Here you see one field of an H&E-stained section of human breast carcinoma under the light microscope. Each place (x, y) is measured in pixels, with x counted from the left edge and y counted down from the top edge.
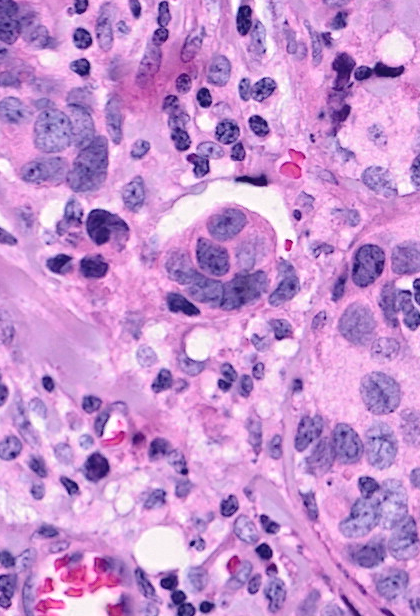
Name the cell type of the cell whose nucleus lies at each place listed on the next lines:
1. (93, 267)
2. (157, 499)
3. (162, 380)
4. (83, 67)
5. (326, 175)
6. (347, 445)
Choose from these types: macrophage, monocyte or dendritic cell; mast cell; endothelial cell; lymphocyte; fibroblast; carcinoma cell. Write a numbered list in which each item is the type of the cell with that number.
1. carcinoma cell
2. macrophage, monocyte or dendritic cell
3. lymphocyte
4. lymphocyte
5. endothelial cell
6. carcinoma cell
